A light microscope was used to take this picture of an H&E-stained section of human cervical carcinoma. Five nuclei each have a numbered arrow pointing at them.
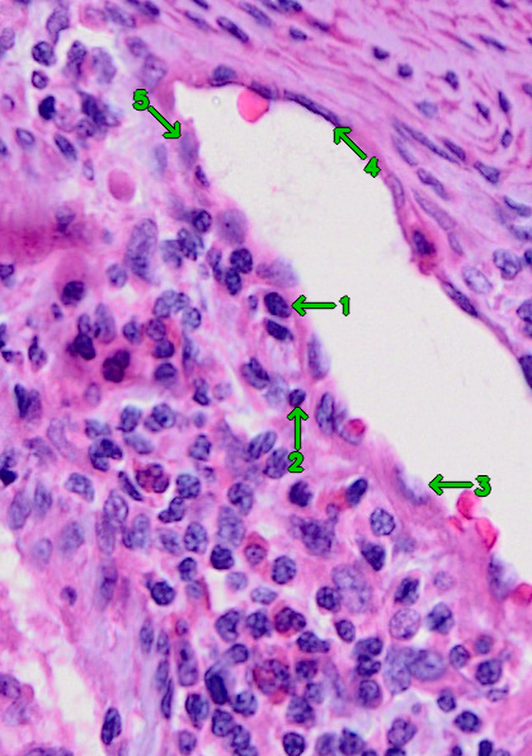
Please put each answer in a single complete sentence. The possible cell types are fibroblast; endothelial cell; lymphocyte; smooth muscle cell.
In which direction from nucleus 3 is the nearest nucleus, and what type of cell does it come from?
Lying below and to the left of nucleus 3, the nearest nucleus is that of a lymphocyte.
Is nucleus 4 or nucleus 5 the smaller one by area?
Number 5 is smaller, since number 4 takes up about 1.5 times as much area.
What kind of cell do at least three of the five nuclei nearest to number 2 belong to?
Most of the five nuclei nearest to number 2 are those of endothelial cells.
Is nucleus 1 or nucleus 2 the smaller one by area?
With nucleus 1 about 1.5 times its size, nucleus 2 is the smaller of the two.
